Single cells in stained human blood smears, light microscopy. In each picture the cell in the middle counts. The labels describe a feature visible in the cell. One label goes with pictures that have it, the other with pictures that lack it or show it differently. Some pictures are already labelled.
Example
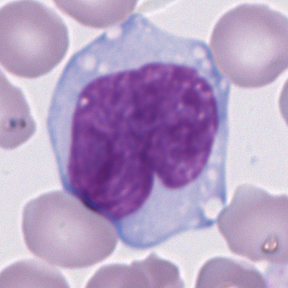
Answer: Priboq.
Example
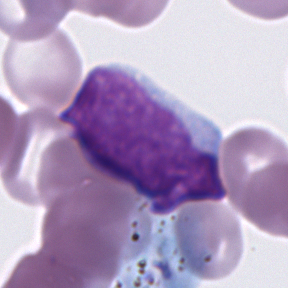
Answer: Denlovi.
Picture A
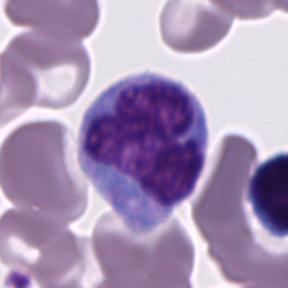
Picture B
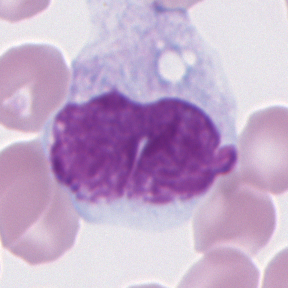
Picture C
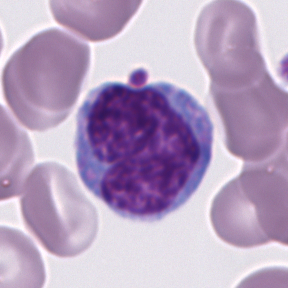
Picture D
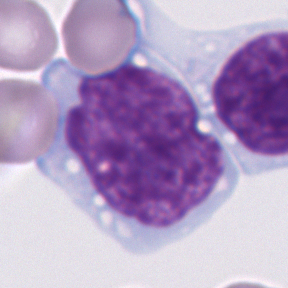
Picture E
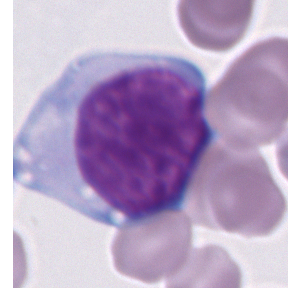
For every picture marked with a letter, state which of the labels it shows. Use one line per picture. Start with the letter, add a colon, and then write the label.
A: Denlovi.
B: Priboq.
C: Denlovi.
D: Priboq.
E: Priboq.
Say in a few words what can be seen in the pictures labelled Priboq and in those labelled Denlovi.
Priboq, vacuoles present; Denlovi, no vacuoles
